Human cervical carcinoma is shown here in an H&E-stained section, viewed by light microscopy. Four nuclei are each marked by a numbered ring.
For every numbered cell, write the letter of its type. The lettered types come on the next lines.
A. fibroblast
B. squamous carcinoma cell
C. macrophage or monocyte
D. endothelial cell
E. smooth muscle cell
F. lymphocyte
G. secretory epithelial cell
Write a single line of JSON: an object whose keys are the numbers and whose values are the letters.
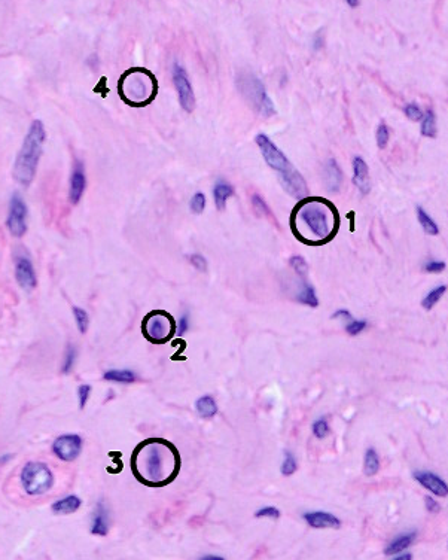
{"1": "A", "2": "A", "3": "A", "4": "E"}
